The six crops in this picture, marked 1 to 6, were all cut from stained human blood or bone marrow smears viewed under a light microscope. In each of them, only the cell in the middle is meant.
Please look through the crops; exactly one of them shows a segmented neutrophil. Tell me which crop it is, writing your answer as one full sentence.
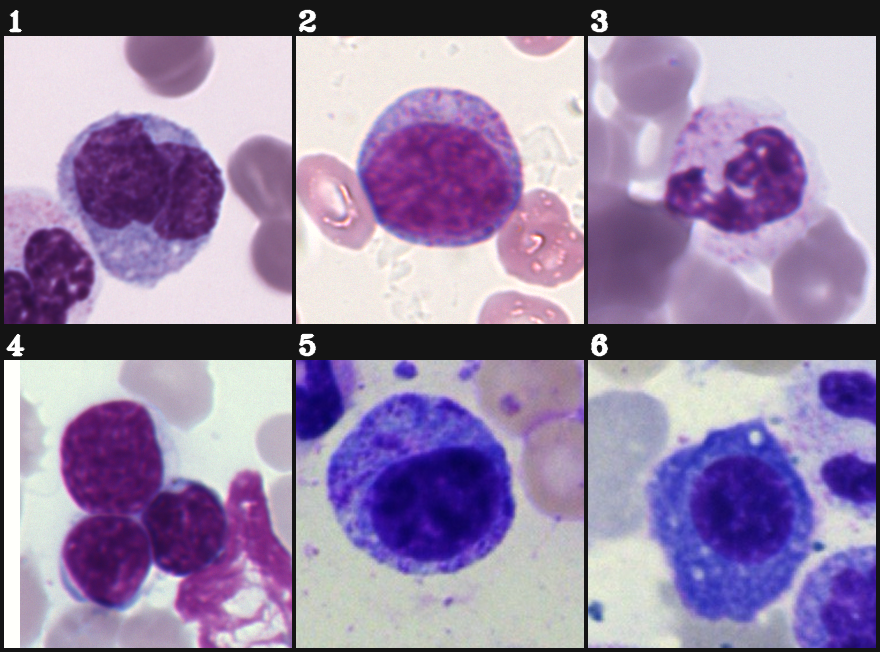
It is in crop 3, among all the crops, that a segmented neutrophil is present.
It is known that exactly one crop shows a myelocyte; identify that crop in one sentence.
The correct choice is crop 5, the one showing a myelocyte.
